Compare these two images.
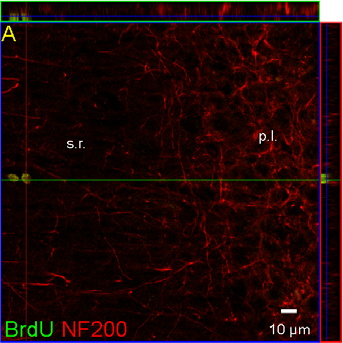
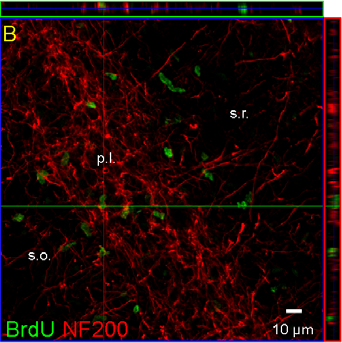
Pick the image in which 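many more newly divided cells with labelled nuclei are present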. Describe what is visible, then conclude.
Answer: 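The second image. Second image: numerous small green nuclei are scattered across the field among the red fibres. First image: only one or two green spots are visible among sparse red fibres.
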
